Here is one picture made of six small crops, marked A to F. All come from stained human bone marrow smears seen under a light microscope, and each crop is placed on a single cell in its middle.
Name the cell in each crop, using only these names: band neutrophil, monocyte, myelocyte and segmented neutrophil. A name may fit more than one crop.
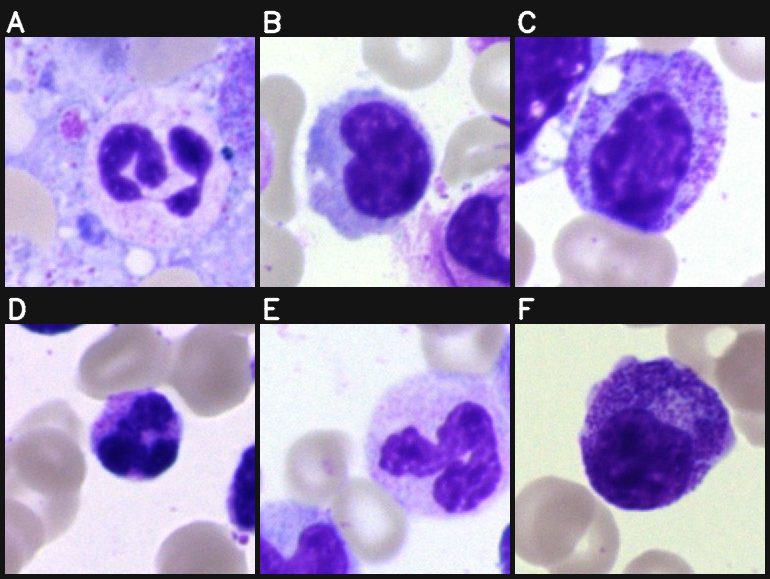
A: segmented neutrophil
B: monocyte
C: myelocyte
D: segmented neutrophil
E: segmented neutrophil
F: myelocyte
